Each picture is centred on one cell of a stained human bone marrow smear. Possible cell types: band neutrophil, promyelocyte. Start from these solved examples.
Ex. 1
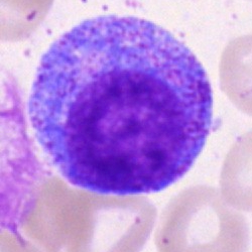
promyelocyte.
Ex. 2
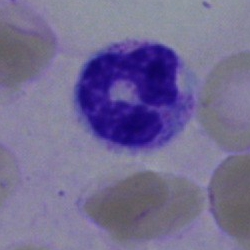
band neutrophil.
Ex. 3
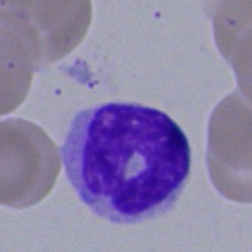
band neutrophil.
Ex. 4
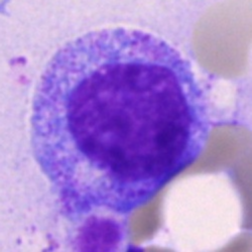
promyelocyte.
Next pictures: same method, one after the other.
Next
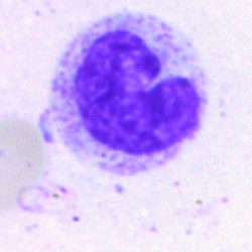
band neutrophil.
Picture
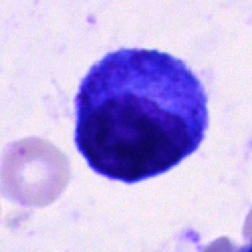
promyelocyte.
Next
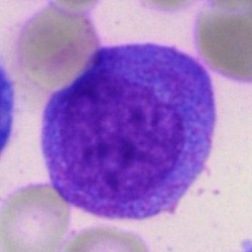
promyelocyte.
